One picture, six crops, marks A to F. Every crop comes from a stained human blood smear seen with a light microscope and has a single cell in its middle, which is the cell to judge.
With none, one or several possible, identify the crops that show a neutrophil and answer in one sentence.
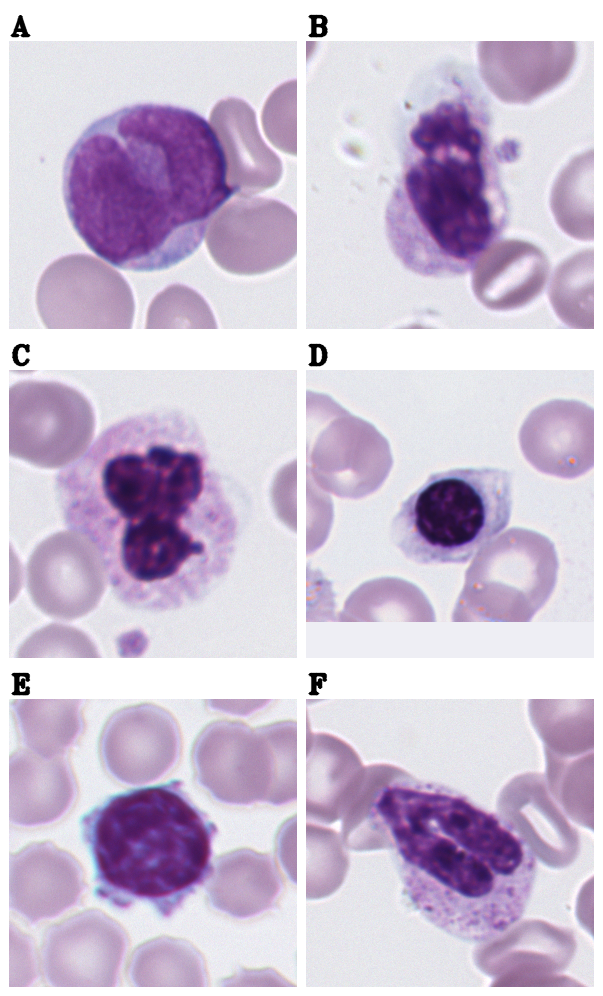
Crops B, C and F are the crops in which neutrophils are shown.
